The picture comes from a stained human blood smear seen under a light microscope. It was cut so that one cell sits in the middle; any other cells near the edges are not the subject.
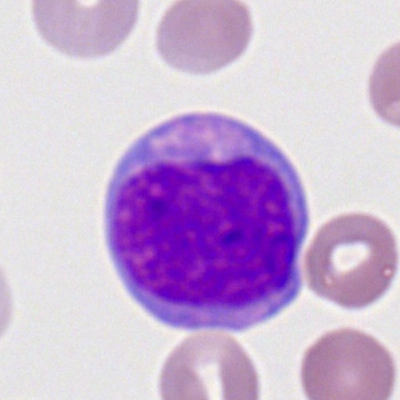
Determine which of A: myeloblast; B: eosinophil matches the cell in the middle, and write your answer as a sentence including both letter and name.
This one is option A, since the cell at the center is a myeloblast.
